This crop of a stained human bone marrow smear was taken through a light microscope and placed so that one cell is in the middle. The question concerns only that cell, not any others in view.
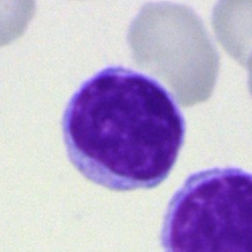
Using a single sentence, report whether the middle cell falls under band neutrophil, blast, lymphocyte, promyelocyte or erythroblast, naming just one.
The cell sitting right in the middle is a lymphocyte.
